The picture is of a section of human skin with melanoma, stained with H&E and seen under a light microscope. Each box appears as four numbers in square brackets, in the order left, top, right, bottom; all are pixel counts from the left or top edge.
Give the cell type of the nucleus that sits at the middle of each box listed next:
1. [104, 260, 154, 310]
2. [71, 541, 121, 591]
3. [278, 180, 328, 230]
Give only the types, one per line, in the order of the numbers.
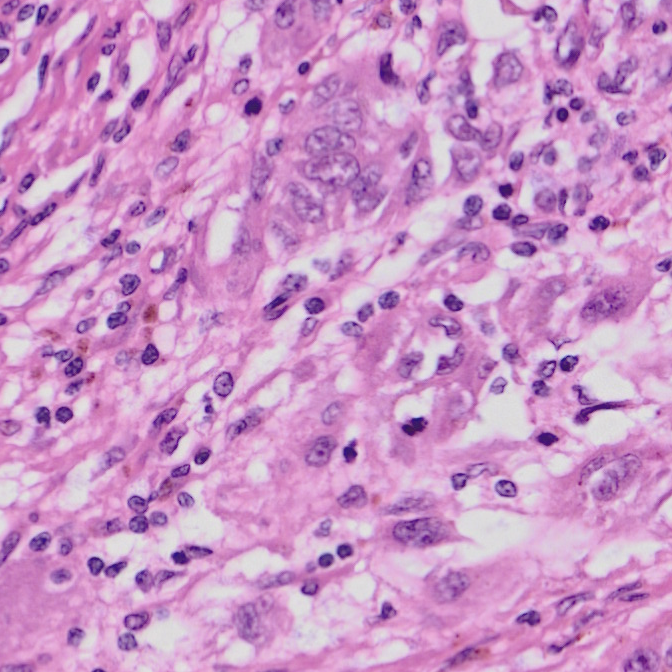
lymphocyte
lymphocyte
melanoma cell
